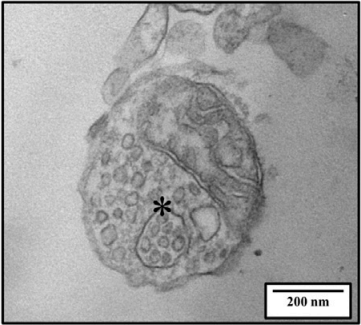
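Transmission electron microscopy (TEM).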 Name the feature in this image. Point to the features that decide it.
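A single rounded membrane-bound particle a few hundred nanometres across. It is packed with many small clear round vesicles. It contains a membrane-bound organelle with internal folded membranes.
Answer: synaptosome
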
